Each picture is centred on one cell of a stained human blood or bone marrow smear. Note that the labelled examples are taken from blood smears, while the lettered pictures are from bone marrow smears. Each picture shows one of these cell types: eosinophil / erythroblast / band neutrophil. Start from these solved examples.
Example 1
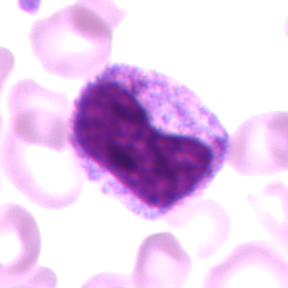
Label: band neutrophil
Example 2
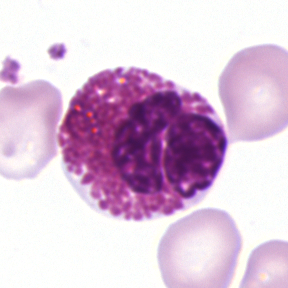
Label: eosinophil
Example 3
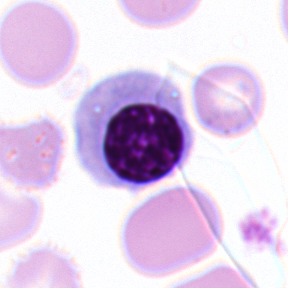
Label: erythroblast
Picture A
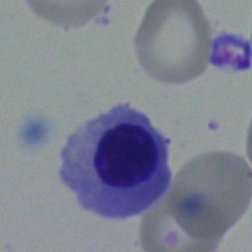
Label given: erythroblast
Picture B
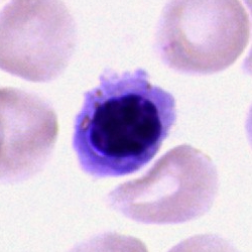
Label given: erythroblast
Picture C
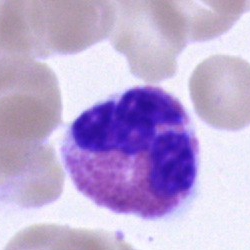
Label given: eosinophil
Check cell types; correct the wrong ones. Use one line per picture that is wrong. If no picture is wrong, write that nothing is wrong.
No label is wrong.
